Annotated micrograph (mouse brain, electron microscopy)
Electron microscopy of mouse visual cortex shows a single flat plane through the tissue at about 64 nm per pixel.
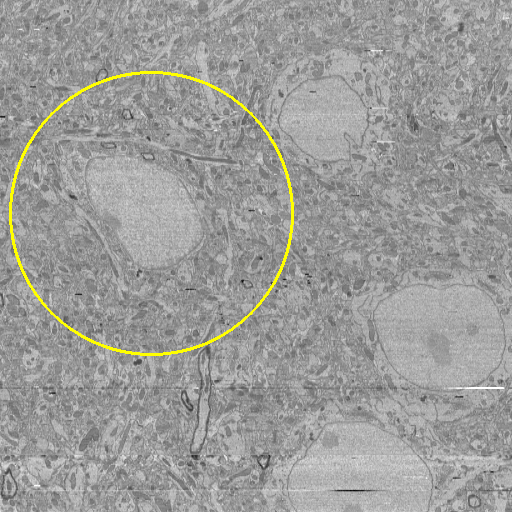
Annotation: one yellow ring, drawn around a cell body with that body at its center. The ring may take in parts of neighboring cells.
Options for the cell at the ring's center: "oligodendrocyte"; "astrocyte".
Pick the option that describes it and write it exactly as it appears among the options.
astrocyte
